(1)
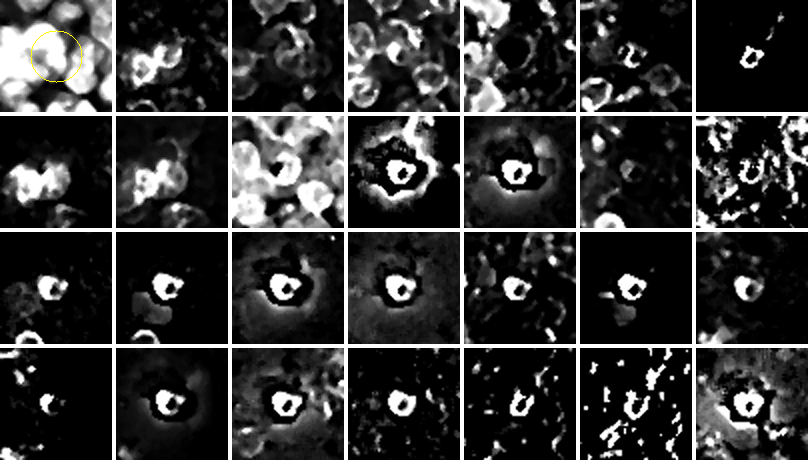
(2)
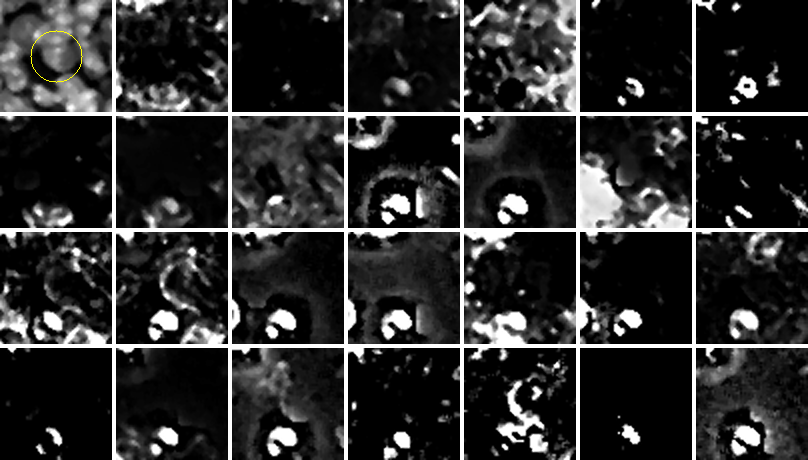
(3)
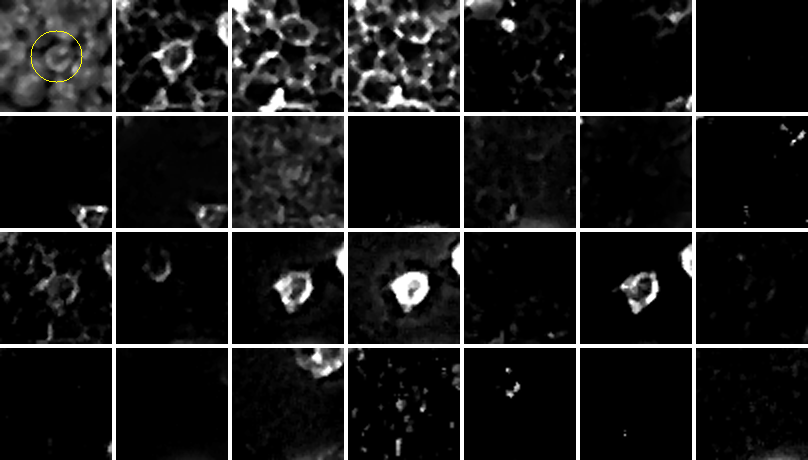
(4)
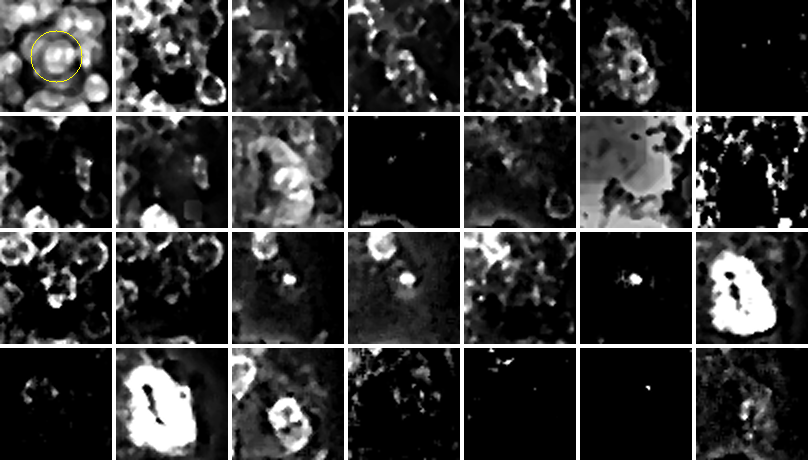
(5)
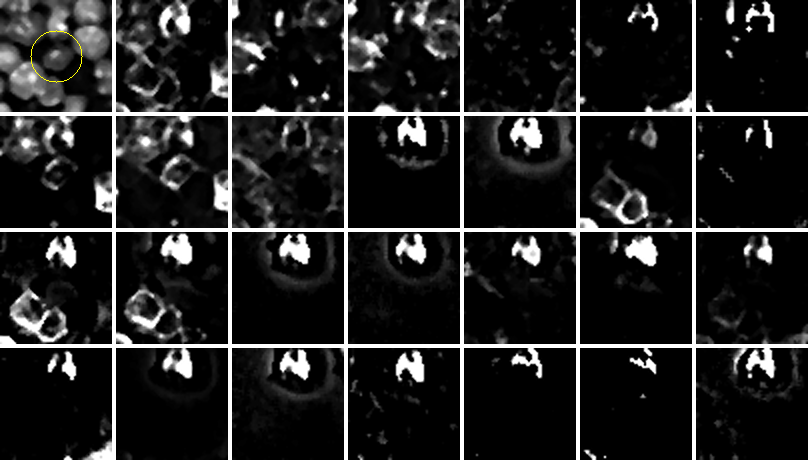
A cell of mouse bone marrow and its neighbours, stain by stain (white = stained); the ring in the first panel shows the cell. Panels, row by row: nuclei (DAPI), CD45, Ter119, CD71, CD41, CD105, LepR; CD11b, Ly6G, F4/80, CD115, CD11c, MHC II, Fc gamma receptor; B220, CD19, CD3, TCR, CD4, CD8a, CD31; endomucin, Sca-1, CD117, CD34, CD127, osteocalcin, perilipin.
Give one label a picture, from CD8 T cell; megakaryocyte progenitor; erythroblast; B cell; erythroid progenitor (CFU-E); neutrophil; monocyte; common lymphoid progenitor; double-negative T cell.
Picture 1: B cell
Picture 2: common lymphoid progenitor
Picture 3: CD8 T cell
Picture 4: double-negative T cell
Picture 5: neutrophil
